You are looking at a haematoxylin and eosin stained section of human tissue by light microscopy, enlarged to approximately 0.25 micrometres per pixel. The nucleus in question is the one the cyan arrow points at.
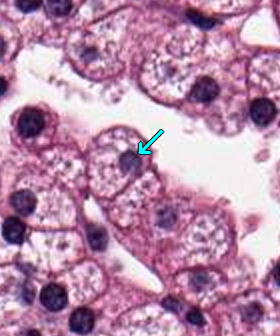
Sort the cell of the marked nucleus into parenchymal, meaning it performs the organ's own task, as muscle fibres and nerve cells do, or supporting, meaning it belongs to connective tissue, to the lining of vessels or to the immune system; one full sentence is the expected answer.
The parenchymal cell to which the marked nucleus belongs is an adrenal cortical cell.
